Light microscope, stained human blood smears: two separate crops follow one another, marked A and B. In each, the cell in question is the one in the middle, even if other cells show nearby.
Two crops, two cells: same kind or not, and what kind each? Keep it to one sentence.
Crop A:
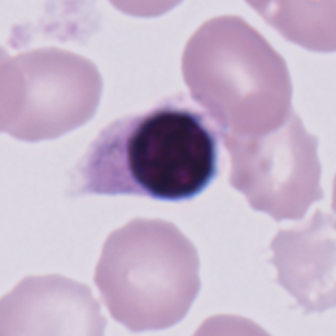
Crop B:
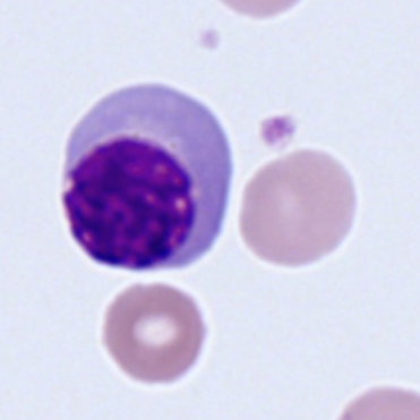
Yes, both crops show erythroblasts, the one and the other.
